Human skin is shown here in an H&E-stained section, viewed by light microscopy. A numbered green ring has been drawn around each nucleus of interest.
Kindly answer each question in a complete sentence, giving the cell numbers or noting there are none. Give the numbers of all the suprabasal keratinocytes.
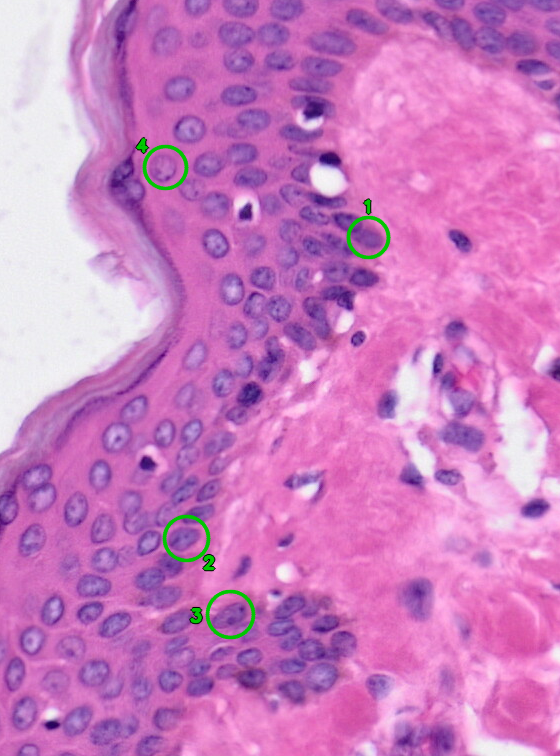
In short, cell 4 is a suprabasal keratinocyte; the others are not.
